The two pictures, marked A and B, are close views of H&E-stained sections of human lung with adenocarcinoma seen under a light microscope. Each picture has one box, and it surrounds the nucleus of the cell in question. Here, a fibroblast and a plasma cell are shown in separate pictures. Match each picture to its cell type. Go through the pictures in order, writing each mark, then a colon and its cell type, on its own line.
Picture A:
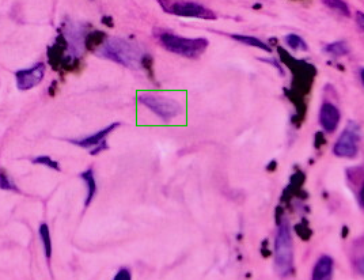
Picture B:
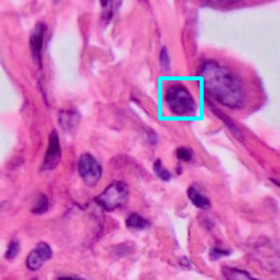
A: fibroblast
B: plasma cell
